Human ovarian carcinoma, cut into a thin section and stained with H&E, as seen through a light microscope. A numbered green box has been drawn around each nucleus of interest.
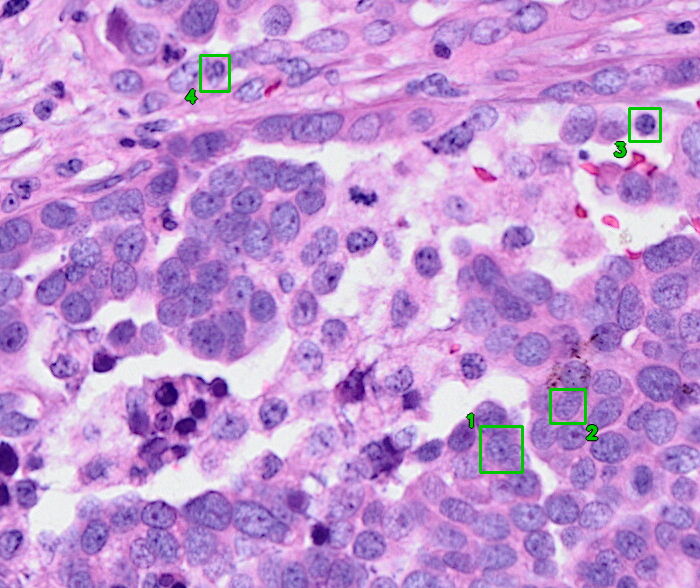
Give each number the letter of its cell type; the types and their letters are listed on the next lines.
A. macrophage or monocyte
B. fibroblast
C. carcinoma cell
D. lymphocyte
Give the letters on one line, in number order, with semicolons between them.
C; C; D; A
